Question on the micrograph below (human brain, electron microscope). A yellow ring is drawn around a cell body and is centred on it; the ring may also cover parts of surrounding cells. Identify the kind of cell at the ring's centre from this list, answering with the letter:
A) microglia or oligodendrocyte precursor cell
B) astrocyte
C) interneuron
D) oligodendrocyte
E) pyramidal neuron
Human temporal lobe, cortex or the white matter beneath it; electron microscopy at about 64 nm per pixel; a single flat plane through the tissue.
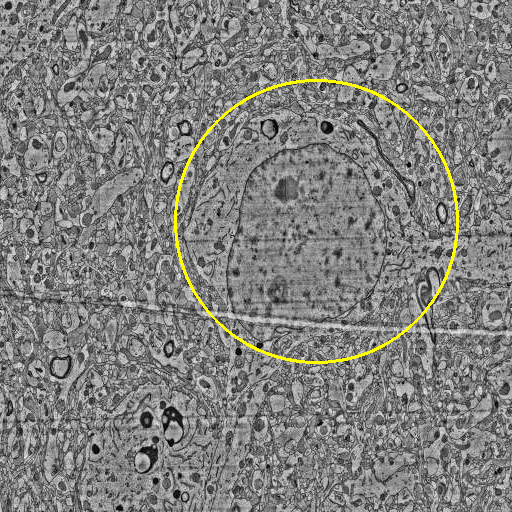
E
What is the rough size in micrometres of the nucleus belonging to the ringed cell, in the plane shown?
Approximately 11 micrometres across in this plane.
